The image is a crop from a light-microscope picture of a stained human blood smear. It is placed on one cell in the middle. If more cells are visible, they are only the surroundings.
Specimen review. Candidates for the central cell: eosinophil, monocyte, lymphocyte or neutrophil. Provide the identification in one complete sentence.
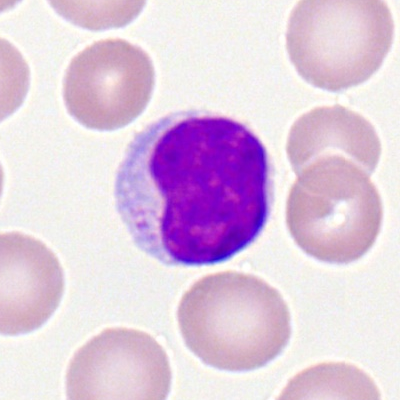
The crop's centre is taken up by a lymphocyte.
